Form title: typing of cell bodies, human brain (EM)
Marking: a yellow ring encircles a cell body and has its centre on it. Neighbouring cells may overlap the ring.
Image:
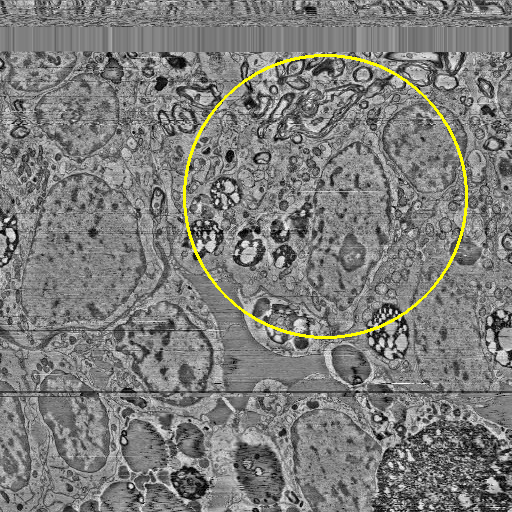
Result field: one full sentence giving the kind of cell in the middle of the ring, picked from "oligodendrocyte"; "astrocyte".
In the picture, the ring is centred on an astrocyte, whose cell body it encircles.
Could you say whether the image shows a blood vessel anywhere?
Yes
